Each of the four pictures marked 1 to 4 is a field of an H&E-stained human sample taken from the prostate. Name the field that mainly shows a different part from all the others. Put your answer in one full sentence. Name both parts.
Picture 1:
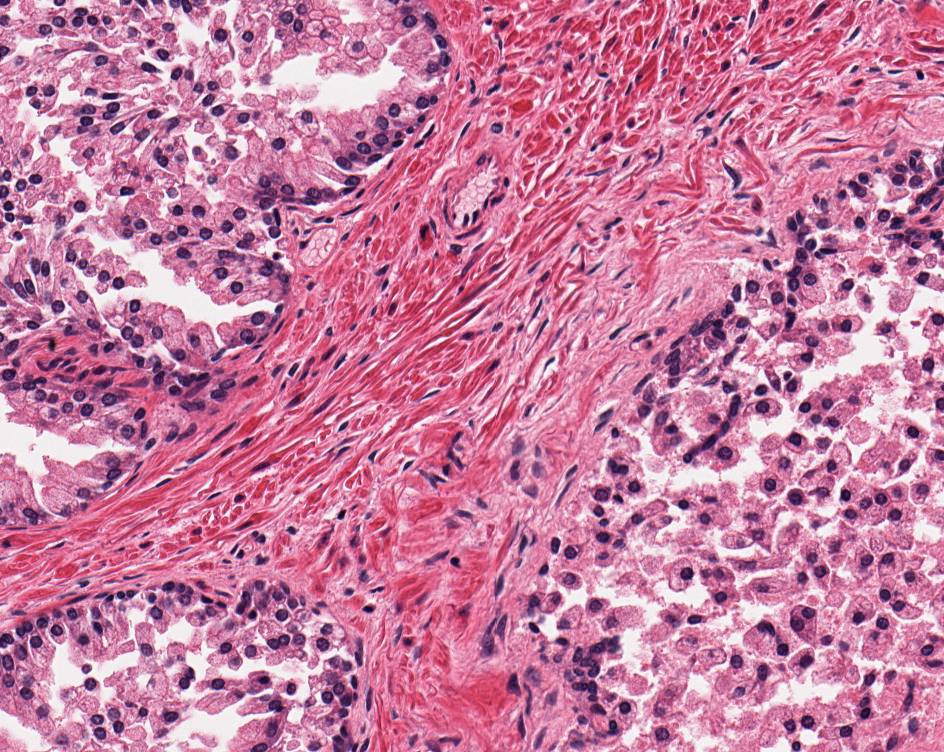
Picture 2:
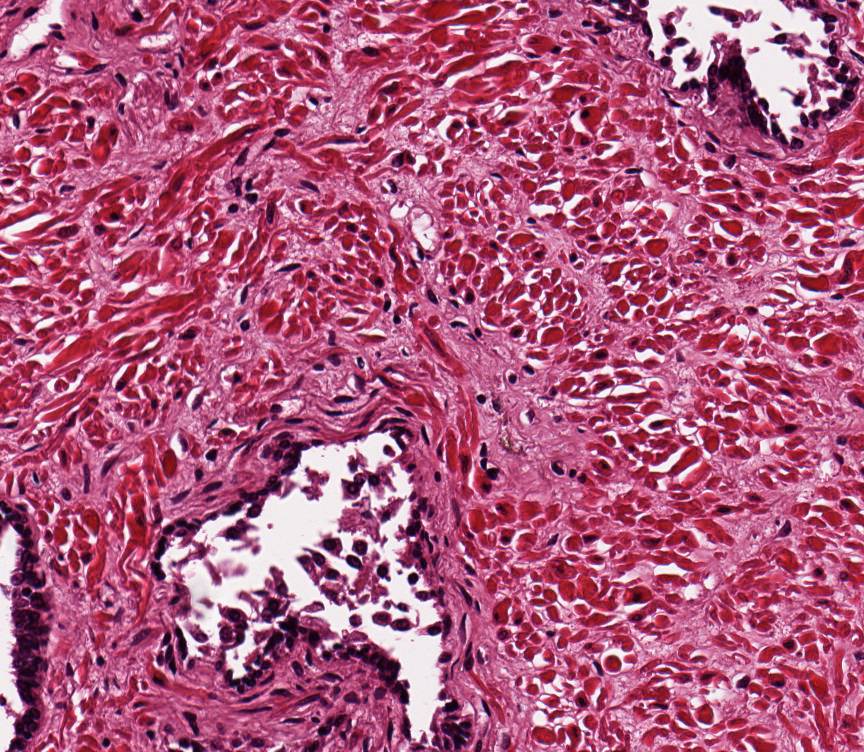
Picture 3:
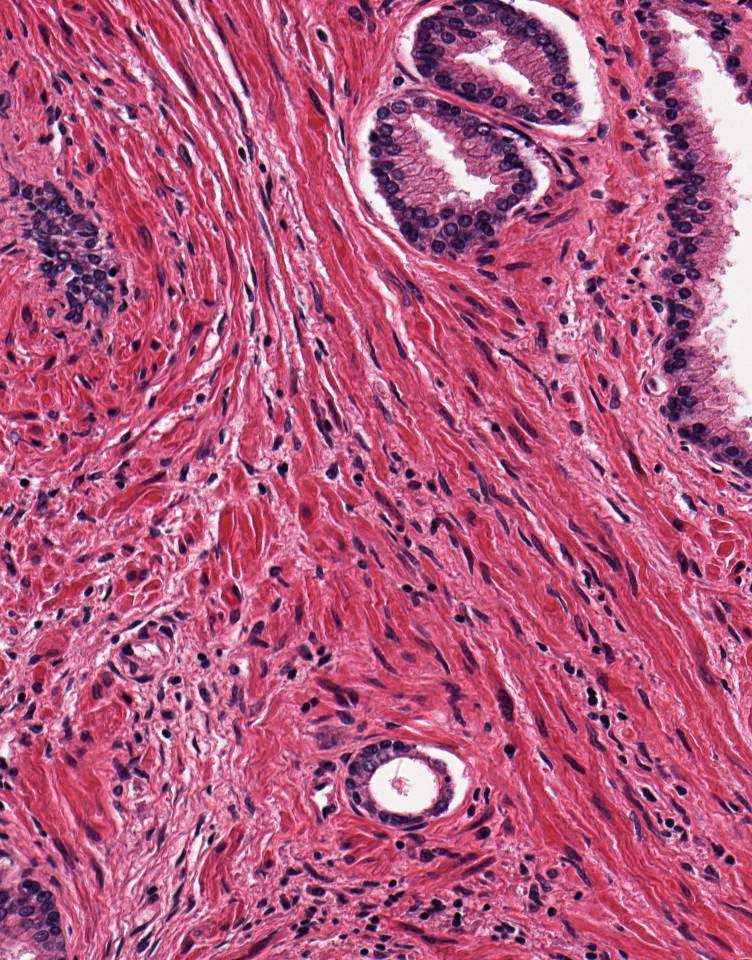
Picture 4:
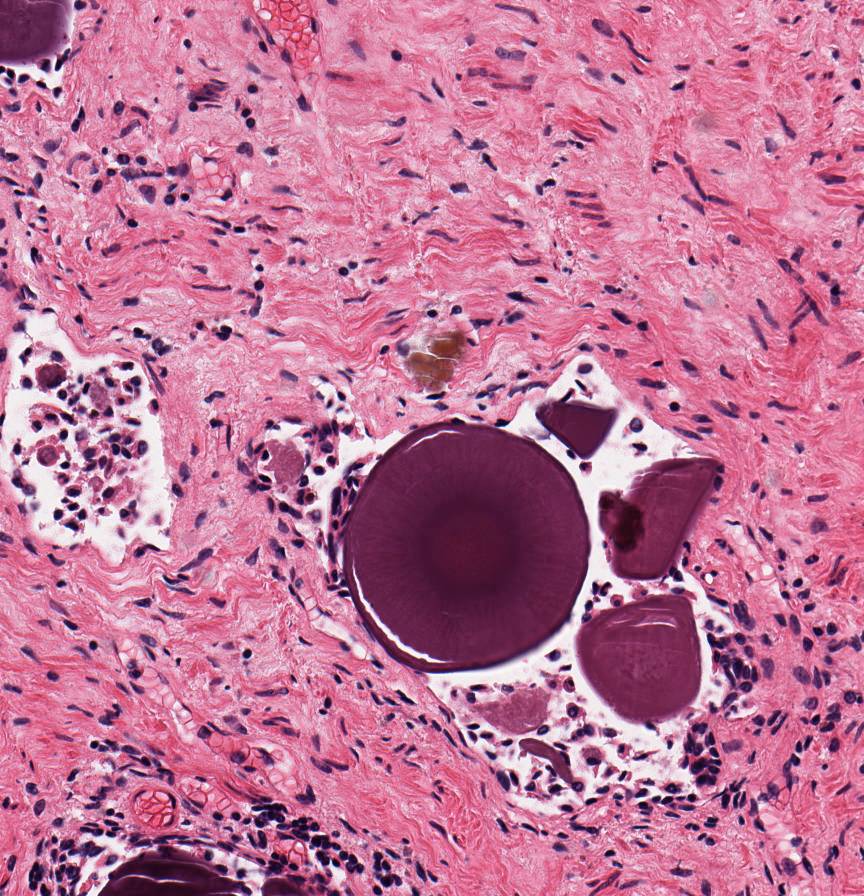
Picture 1 is the odd one out: it mainly shows prostatic glands, while the others mainly show the fibromuscular stroma.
